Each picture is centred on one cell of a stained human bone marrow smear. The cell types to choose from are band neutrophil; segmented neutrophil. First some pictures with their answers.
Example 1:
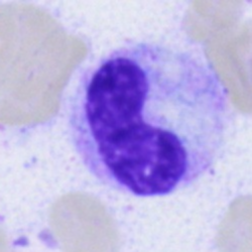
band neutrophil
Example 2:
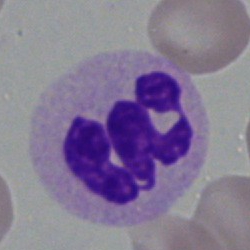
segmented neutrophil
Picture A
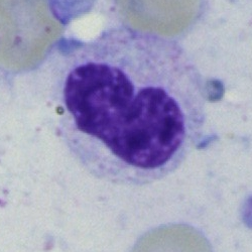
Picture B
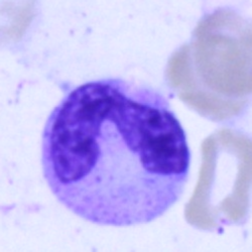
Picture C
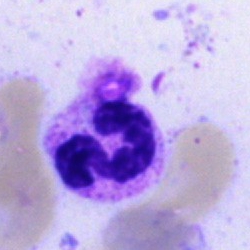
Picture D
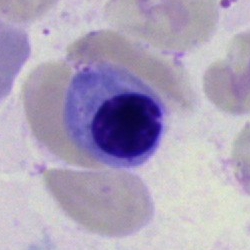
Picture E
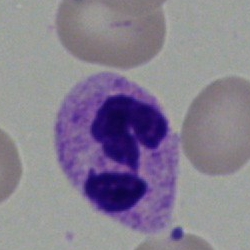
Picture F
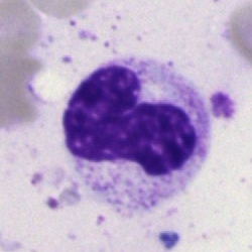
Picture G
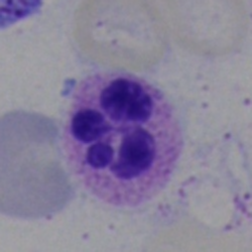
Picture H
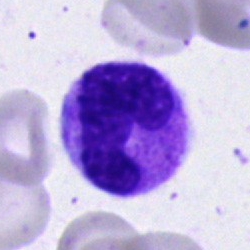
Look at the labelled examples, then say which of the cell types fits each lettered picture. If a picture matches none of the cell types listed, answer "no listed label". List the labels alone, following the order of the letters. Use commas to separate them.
band neutrophil, band neutrophil, segmented neutrophil, no listed label, segmented neutrophil, band neutrophil, segmented neutrophil, band neutrophil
